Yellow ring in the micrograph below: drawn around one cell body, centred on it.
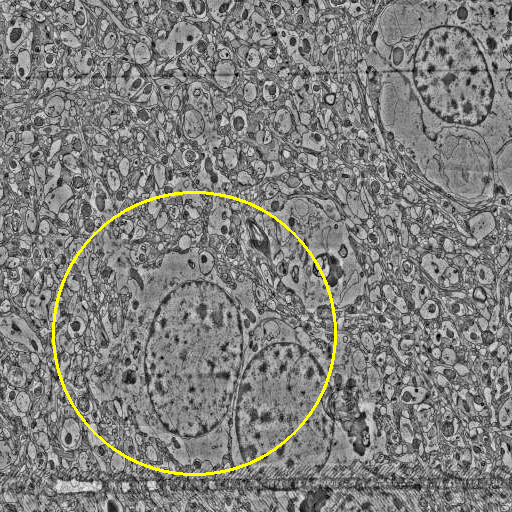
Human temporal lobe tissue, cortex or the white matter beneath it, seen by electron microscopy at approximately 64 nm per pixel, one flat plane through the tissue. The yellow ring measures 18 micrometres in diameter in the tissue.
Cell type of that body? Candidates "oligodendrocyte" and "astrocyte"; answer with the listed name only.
astrocyte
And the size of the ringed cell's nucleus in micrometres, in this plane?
Approximately 10 micrometres long and 7 micrometres wide, so clearly longer than it is wide in this plane.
